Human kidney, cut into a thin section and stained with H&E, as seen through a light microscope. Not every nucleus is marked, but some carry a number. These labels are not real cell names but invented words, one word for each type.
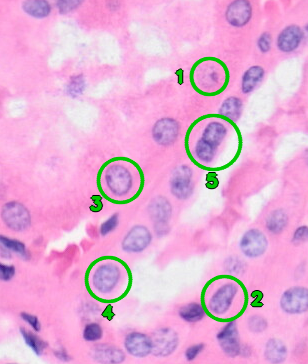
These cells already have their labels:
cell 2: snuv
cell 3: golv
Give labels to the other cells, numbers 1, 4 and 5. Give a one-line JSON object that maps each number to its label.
{"1": "golv", "4": "snuv", "5": "snuv"}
